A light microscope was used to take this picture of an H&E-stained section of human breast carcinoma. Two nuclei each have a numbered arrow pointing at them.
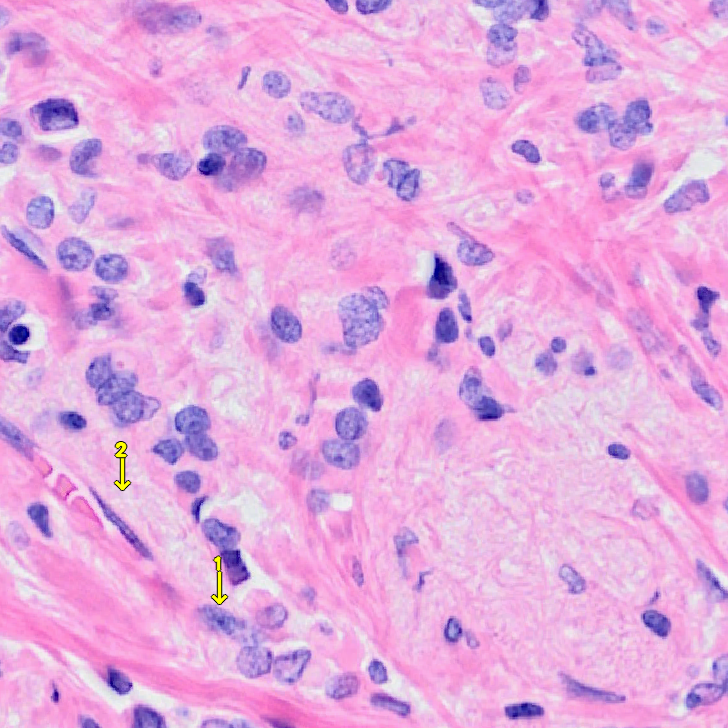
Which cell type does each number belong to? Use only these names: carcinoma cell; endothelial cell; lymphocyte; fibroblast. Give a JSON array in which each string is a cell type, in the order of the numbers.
["fibroblast", "endothelial cell"]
